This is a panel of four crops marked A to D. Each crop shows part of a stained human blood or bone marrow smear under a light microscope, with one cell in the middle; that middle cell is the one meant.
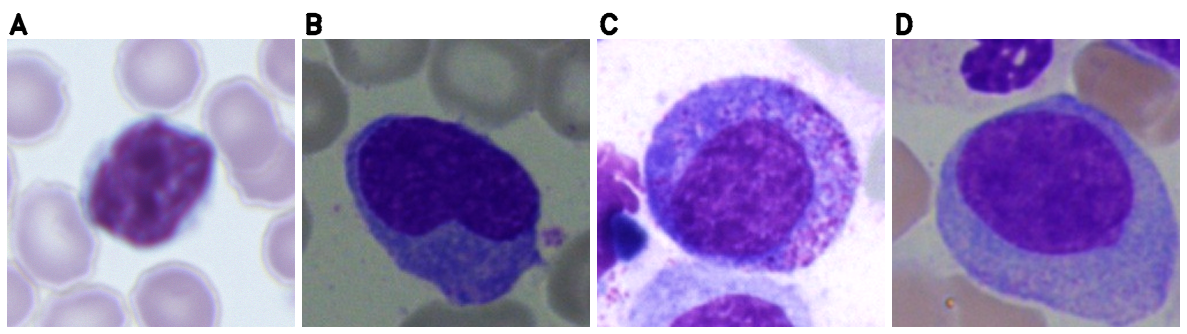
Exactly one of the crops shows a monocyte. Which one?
B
